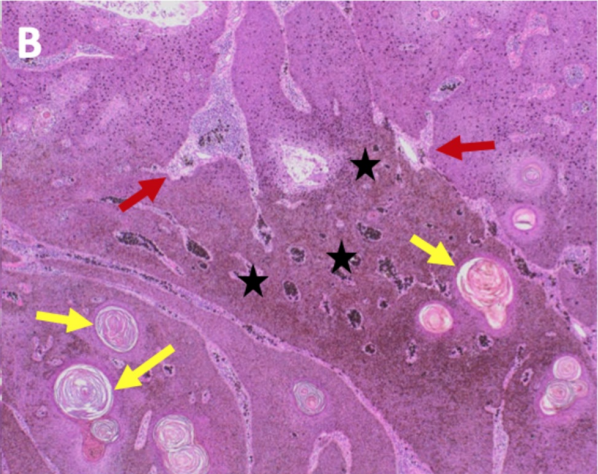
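Markedly thickened squamous epithelium with several round keratin-filled pseudocysts containing concentric laminated pink keratin. A band of epithelium is darker and brownish with scattered dark pigmented foci, and thin strands of pale stroma with small vessels run through the epithelium.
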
